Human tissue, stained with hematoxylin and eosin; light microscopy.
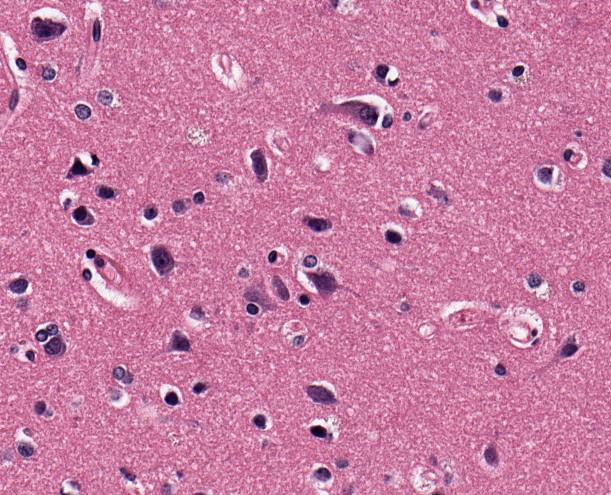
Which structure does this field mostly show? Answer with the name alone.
cerebral cortex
